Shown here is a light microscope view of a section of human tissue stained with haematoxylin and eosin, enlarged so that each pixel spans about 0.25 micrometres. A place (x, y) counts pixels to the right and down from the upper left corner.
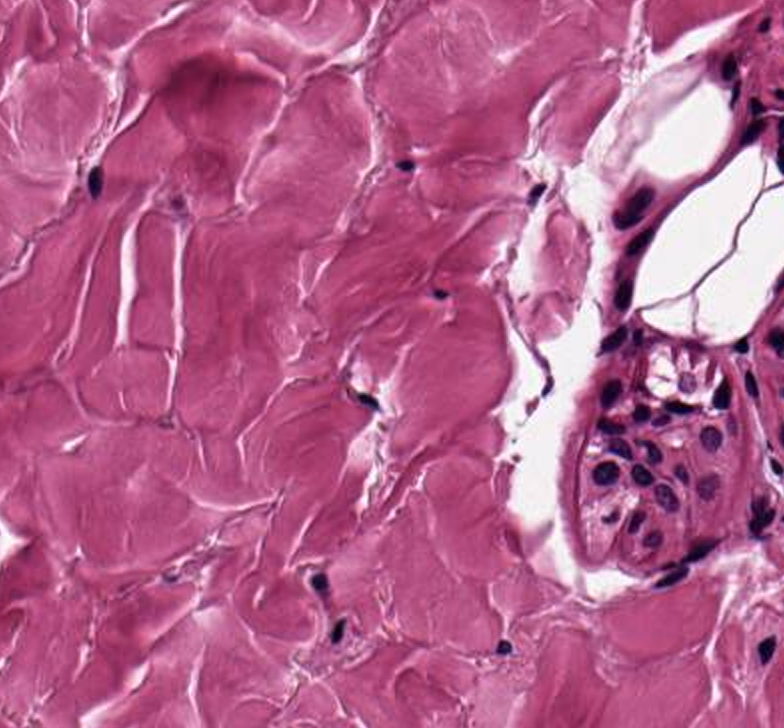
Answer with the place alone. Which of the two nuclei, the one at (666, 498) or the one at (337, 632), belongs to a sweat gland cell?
(666, 498)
